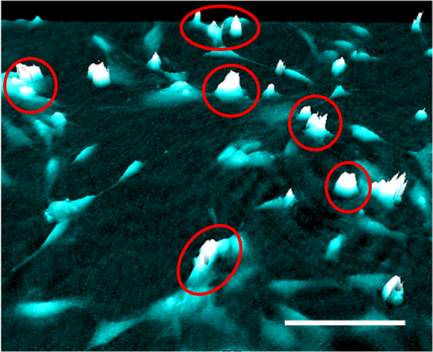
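Many cells are spread, flat and spindle-shaped, lying in low cyan tones across a dark background. Scattered among them are cells that stand up as tall, bright white peaks, compact and rounded rather than spread out. Several of these tall cells have irregular, jagged or spiky tops, and the layer between them looks sparser with gaps. These rounded, heightened cells show drastic changes in cell morphology compared with their flat neighbours.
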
